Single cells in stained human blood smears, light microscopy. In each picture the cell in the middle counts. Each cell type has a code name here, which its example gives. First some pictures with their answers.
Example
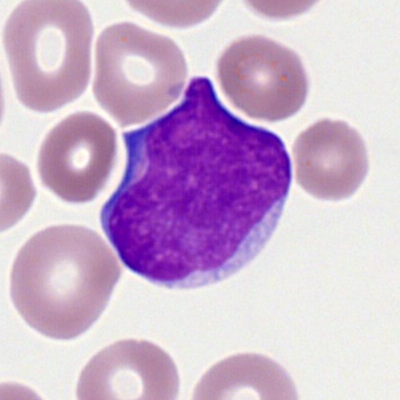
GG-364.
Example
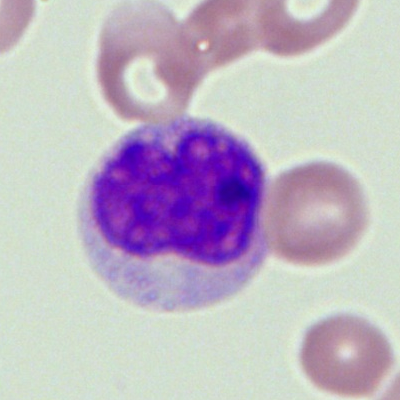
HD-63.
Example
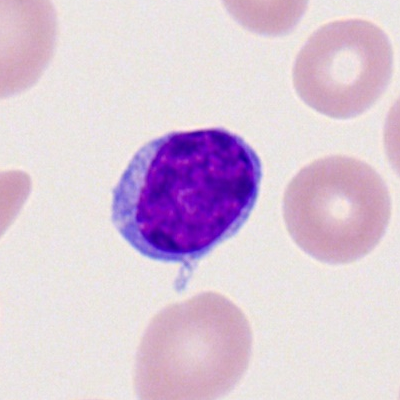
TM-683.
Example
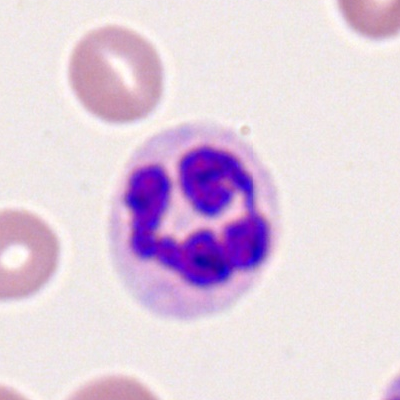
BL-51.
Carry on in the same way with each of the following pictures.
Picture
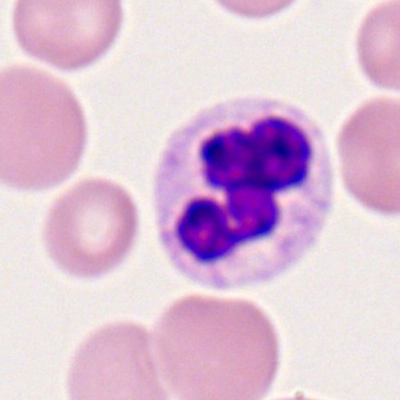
BL-51.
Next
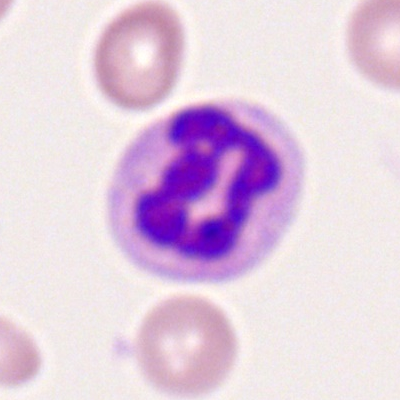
BL-51.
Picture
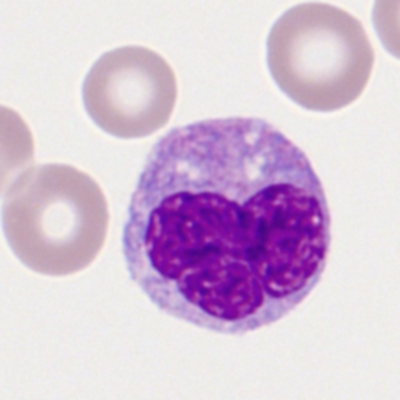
HD-63.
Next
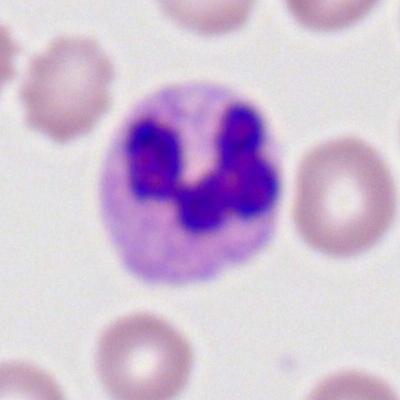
BL-51.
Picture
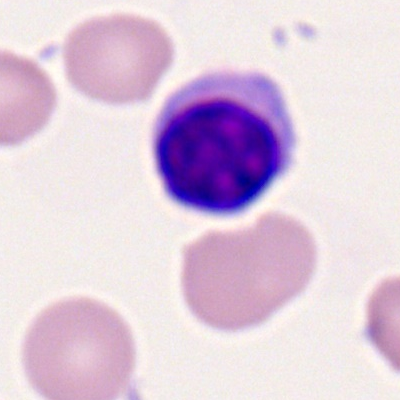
TM-683.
